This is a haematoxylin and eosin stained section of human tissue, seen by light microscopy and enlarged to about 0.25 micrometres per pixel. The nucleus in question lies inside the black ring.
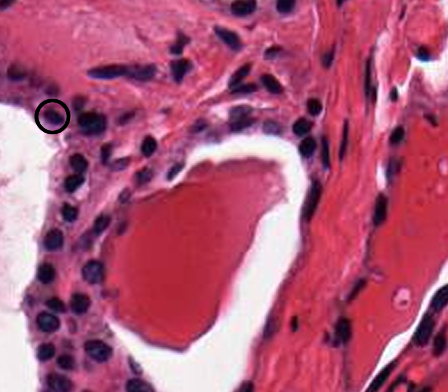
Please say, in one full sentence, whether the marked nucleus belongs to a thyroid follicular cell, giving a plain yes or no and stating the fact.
Yes, the marked nucleus is recognised as belonging to a thyroid follicular cell.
